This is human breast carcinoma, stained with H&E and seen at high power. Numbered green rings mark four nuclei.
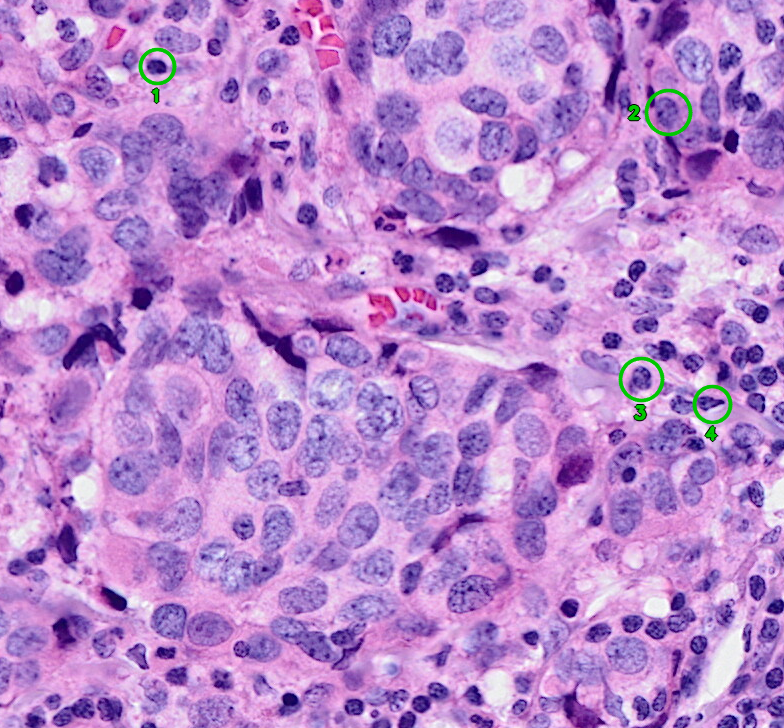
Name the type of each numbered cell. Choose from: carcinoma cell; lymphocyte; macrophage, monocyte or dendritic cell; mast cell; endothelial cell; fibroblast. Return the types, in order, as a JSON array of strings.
["lymphocyte", "carcinoma cell", "lymphocyte", "lymphocyte"]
